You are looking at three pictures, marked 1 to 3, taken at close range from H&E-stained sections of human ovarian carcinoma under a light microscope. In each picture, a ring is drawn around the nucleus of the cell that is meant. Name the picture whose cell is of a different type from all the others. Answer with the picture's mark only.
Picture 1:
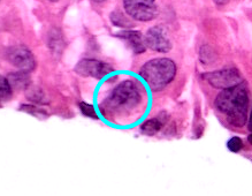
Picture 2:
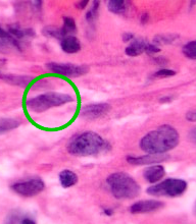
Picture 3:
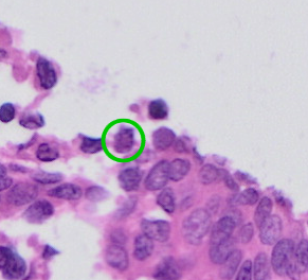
2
